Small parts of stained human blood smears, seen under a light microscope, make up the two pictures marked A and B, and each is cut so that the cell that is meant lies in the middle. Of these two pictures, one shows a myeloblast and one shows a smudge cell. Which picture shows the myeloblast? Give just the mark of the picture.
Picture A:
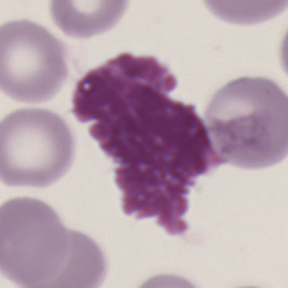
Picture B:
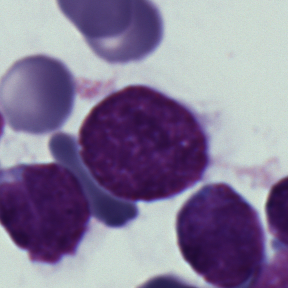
B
